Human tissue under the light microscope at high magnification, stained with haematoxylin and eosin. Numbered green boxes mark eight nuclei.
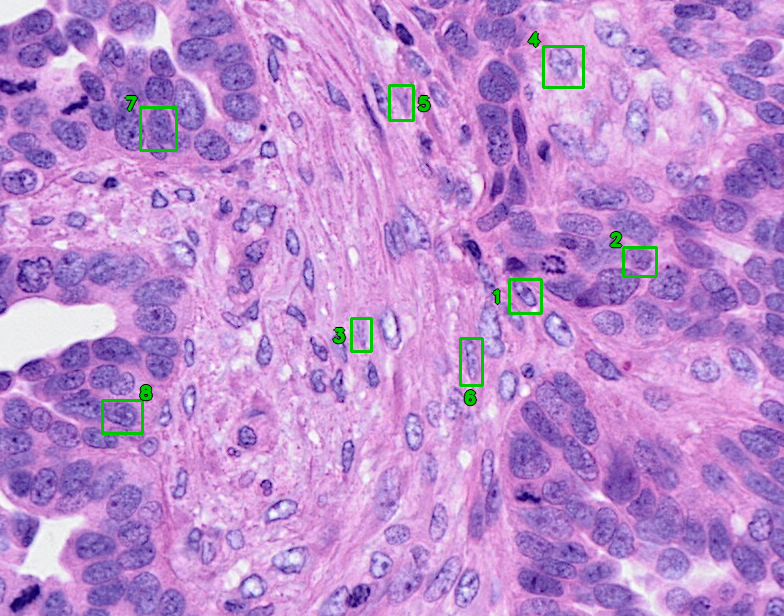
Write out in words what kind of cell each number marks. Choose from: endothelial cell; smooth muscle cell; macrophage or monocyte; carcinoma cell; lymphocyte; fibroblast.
Cells 1, 3, 4, 5 and 6 are fibroblasts. Cells 2, 7 and 8 are carcinoma cells.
